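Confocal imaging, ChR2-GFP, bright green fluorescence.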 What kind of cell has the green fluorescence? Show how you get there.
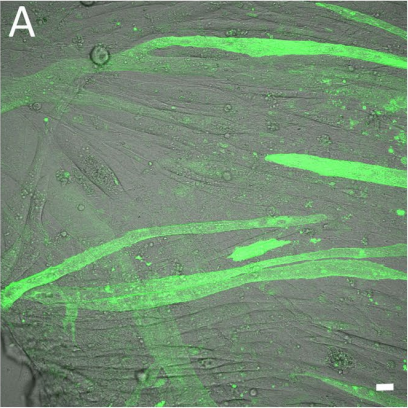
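Green-fluorescent cells are long, ribbon-like tubes running across the field. Unlabelled, smaller spindle-shaped cells lie among them in the grey background. The answer: myotubes.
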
